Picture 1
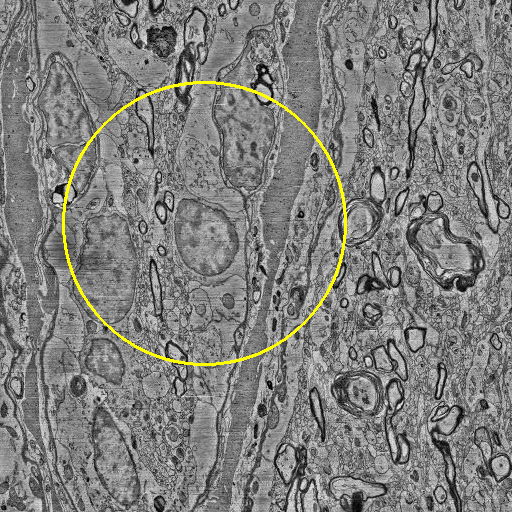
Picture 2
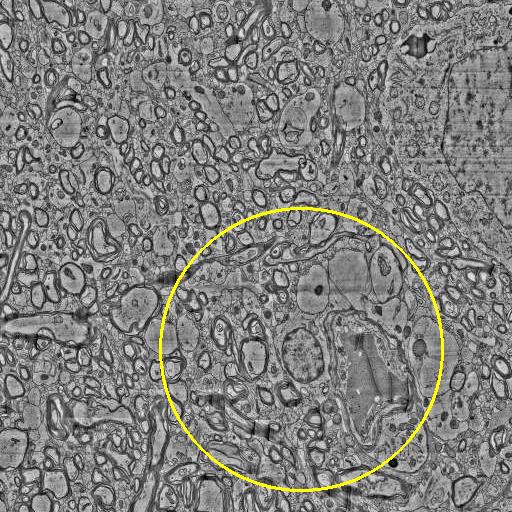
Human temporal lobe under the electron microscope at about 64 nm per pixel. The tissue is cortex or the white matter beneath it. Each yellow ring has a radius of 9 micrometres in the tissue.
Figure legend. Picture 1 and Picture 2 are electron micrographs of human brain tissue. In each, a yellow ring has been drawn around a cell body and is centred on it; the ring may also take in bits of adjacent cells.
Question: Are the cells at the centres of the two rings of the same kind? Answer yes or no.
no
